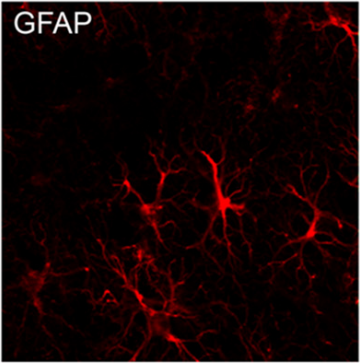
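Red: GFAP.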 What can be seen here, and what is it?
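This field shows astrocytes labelled in red. Each cell has a small, compact cell body from which several long, thin, branching processes radiate in all directions, giving a star-shaped outline. The cells are scattered singly with clear spaces between them, and their processes only loosely approach those of neighbours. Staining is brightest in the cell bodies and main processes and fainter in the finer branches, and some cells at the edge of the field are only dimly labelled.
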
